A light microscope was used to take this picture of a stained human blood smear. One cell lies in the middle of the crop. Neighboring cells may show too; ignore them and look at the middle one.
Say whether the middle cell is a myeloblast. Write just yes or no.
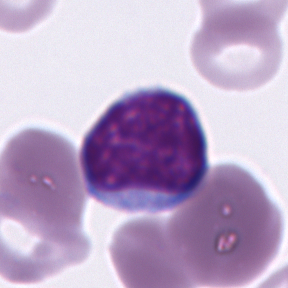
no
